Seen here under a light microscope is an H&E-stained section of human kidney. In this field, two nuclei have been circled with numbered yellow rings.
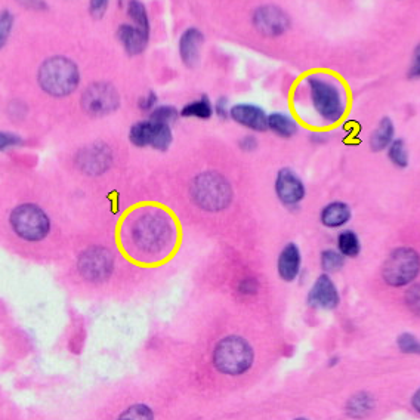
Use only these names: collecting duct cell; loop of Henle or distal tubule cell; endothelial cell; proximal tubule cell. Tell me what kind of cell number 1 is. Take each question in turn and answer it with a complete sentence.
Number 1 is placed on a proximal tubule cell here.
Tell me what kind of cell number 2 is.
The cell marked with the number 2 is an endothelial cell.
